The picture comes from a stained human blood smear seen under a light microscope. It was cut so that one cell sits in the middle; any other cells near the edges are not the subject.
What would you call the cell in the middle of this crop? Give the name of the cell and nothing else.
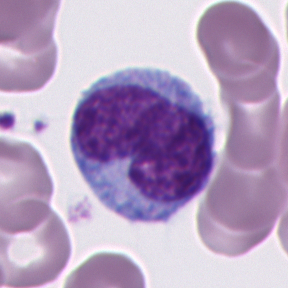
monocyte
